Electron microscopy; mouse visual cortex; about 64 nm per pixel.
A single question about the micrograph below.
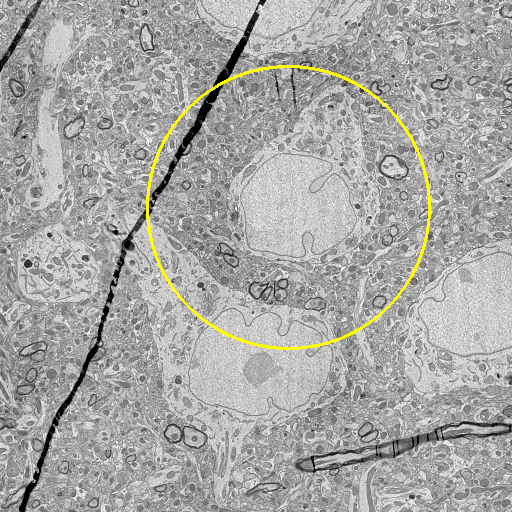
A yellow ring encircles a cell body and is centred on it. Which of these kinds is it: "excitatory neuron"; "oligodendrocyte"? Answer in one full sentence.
The cell body at the centre of the yellow ring belongs to an excitatory neuron.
